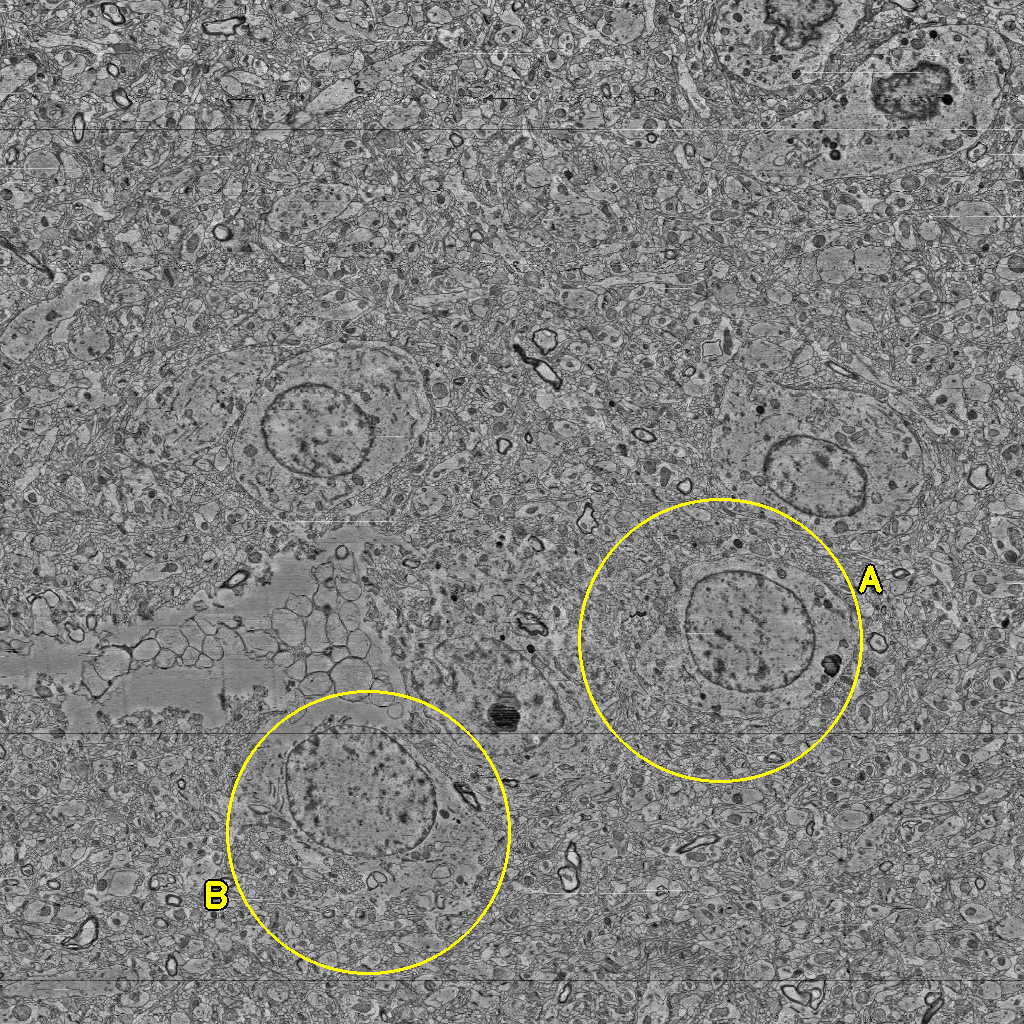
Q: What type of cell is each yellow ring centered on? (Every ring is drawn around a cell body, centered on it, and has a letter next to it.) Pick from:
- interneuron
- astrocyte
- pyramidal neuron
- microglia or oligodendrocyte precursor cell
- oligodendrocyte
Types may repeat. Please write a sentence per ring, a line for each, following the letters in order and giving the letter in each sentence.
The cell body centered in ring A belongs to a pyramidal neuron.
The cell body centered in ring B belongs to an astrocyte.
